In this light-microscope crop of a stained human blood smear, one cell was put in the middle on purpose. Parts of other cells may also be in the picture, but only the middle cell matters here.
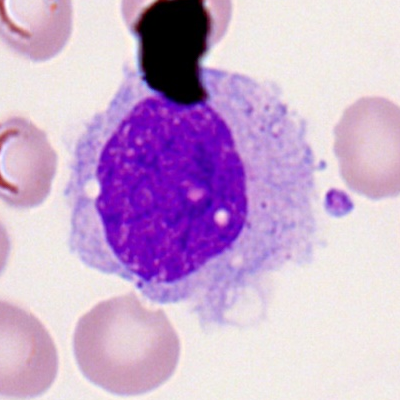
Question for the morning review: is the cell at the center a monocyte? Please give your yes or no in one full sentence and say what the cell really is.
Yes, the cell in the middle of the view is a monocyte.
